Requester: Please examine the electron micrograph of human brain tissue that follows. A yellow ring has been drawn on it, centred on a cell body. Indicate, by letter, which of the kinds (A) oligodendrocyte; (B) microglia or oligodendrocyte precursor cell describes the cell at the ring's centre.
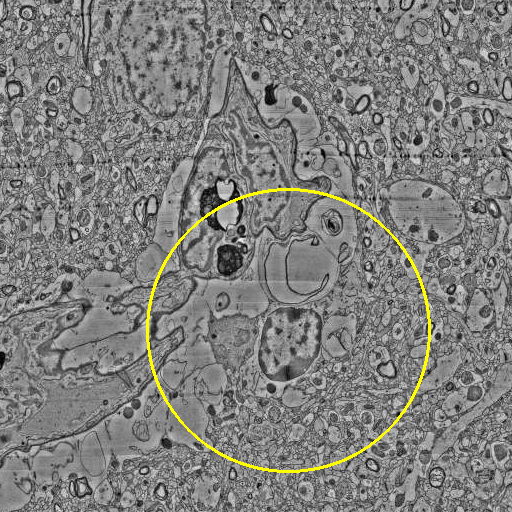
B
